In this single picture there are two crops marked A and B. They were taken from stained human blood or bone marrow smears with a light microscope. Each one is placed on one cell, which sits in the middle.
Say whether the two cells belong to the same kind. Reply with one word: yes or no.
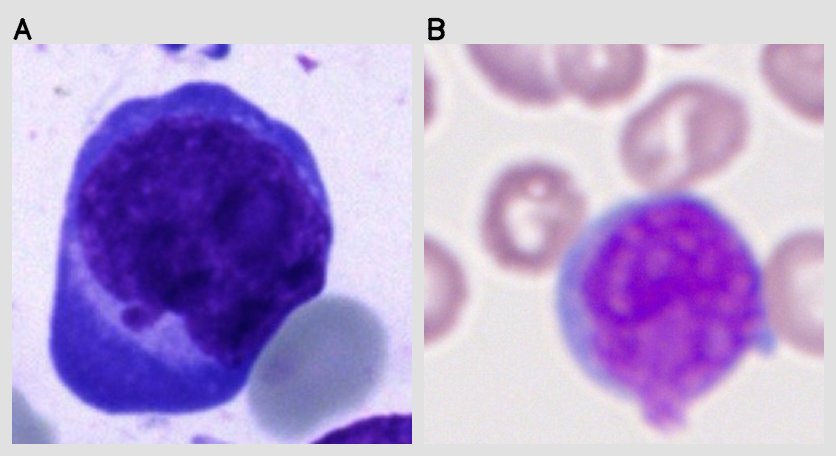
no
